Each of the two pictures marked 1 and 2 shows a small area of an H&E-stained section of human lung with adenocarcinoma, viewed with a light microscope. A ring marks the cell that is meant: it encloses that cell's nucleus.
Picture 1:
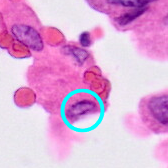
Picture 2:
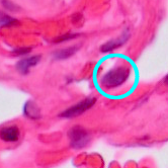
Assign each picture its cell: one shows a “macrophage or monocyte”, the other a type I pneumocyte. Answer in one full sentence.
The cell in picture 1 is a “macrophage or monocyte”, and the one in picture 2 is a type I pneumocyte.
